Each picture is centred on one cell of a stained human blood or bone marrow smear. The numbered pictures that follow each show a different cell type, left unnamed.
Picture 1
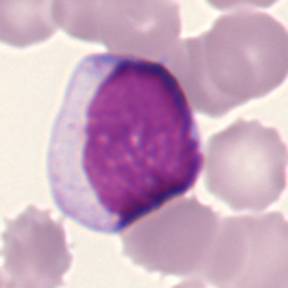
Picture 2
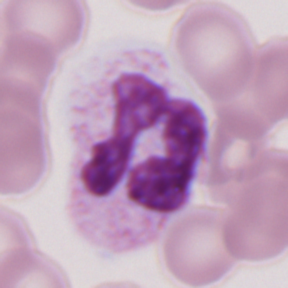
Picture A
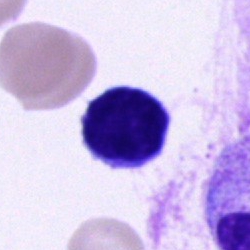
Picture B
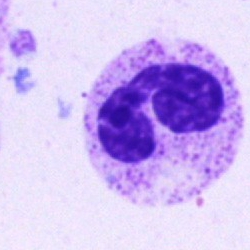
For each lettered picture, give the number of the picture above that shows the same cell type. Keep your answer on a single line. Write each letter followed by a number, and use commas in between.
A 1, B 2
